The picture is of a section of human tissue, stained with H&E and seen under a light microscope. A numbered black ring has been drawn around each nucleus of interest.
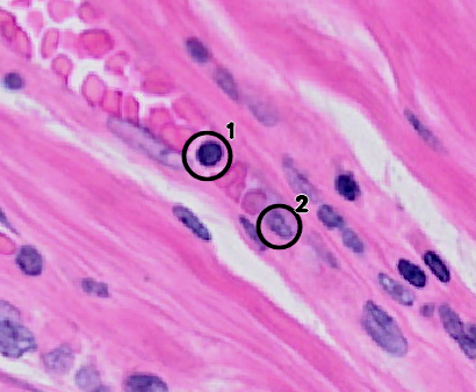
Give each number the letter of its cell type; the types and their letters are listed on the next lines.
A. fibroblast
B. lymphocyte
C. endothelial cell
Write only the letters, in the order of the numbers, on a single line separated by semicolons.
B; C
